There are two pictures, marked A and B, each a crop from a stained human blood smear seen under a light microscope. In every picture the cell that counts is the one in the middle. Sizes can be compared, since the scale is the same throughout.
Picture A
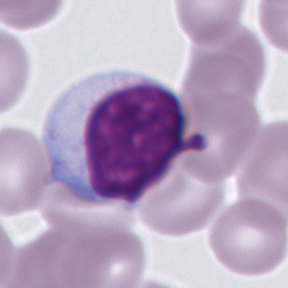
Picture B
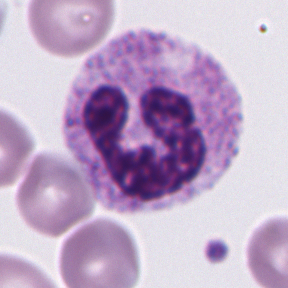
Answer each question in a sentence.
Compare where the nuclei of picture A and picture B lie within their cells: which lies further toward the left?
In picture B the nucleus is shifted more toward the left.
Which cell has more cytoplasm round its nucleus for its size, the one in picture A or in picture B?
Of the two, the nucleus in picture B leaves more room for cytoplasm.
